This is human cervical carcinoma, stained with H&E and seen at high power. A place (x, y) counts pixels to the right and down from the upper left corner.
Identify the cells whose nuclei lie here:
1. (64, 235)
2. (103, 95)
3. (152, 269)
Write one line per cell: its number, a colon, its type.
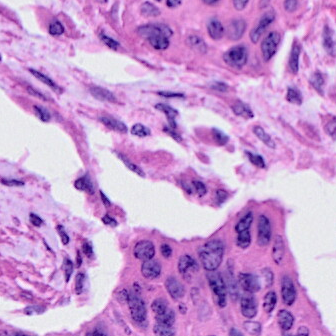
1: fibroblast
2: fibroblast
3: squamous carcinoma cell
